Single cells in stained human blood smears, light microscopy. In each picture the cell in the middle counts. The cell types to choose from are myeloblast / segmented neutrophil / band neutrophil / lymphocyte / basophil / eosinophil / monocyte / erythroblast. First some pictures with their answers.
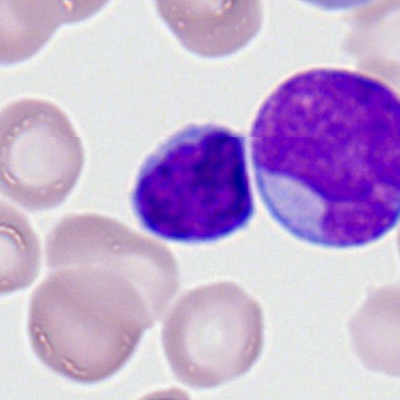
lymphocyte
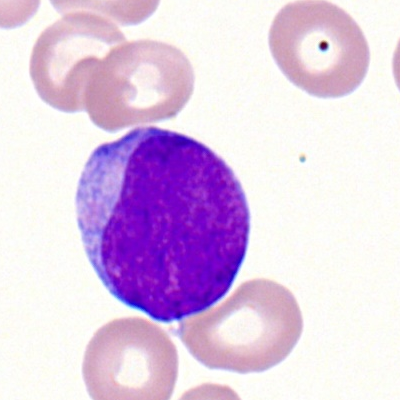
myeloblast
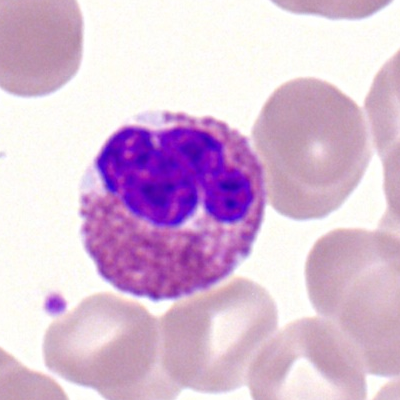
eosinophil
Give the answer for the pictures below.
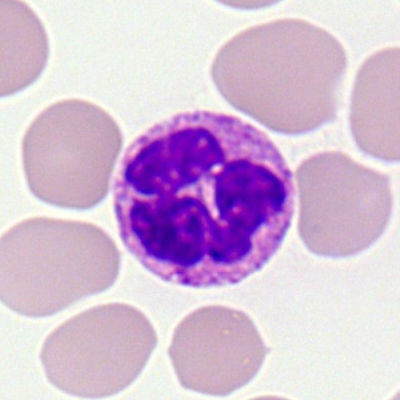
basophil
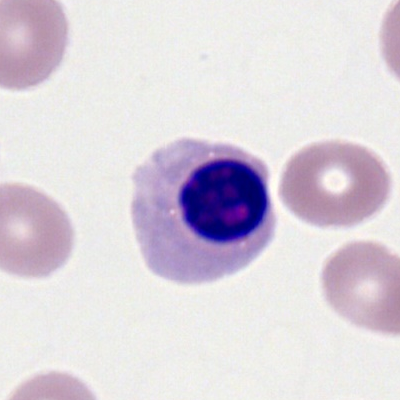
erythroblast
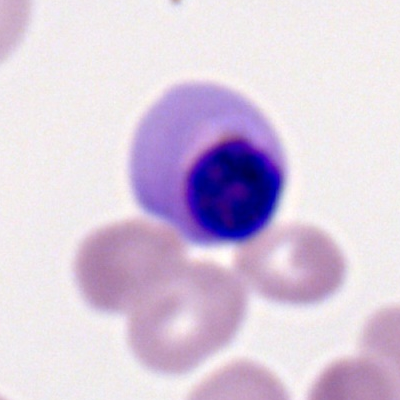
erythroblast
